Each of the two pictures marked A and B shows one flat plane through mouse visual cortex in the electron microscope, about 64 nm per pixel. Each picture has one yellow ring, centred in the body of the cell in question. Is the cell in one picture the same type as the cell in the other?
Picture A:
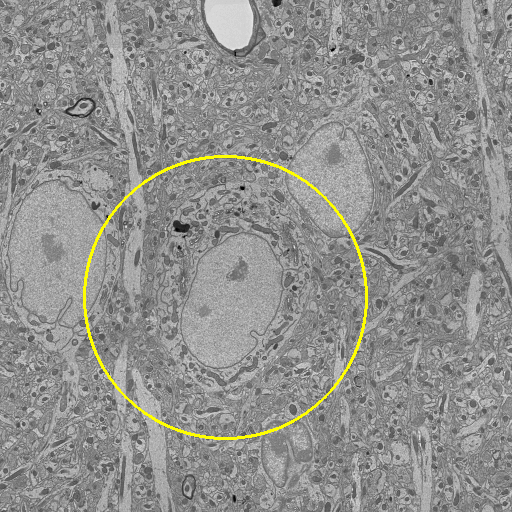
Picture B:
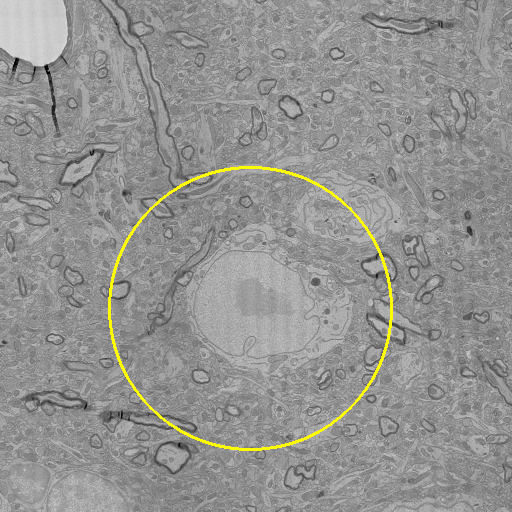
No, picture A shows an inhibitory neuron and picture B shows an excitatory neuron.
